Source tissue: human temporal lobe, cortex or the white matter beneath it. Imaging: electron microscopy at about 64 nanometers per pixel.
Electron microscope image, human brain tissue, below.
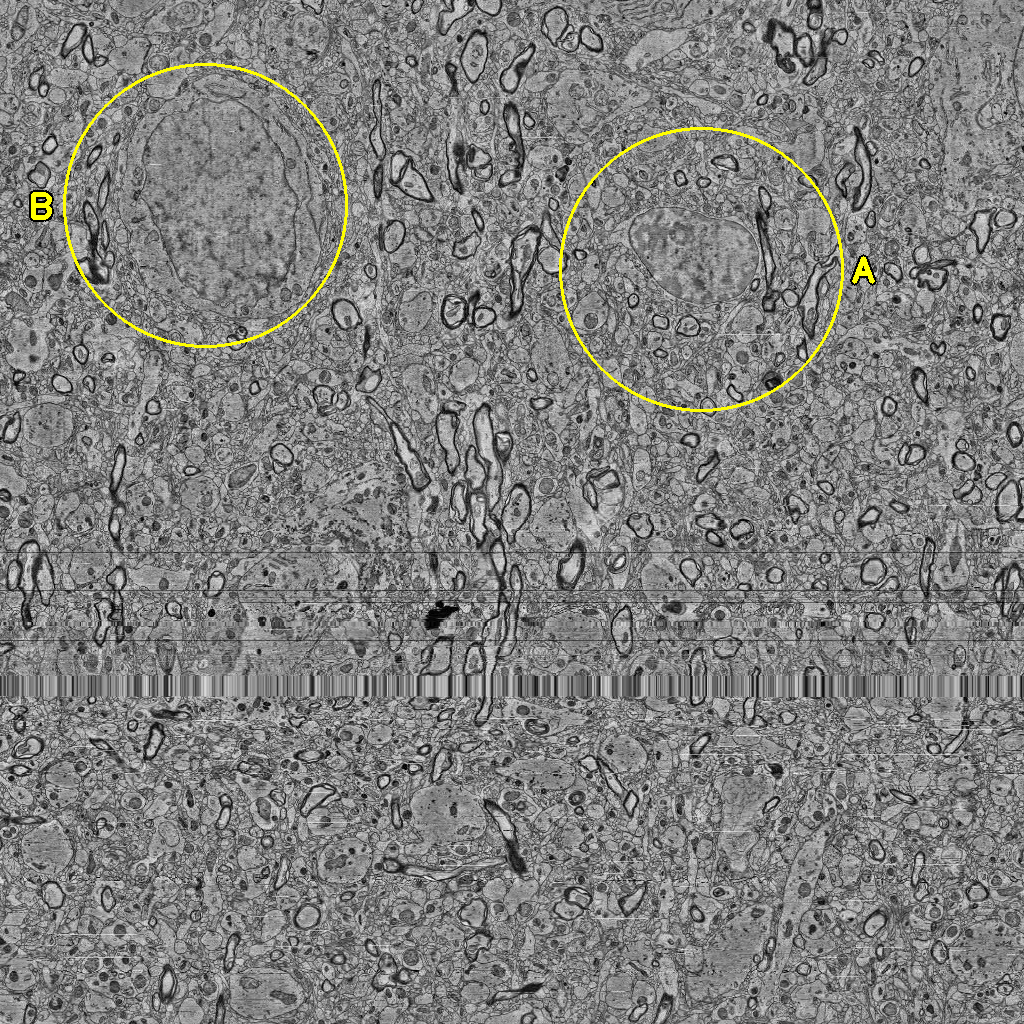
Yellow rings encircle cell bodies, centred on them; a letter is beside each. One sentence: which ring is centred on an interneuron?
It is ring B.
